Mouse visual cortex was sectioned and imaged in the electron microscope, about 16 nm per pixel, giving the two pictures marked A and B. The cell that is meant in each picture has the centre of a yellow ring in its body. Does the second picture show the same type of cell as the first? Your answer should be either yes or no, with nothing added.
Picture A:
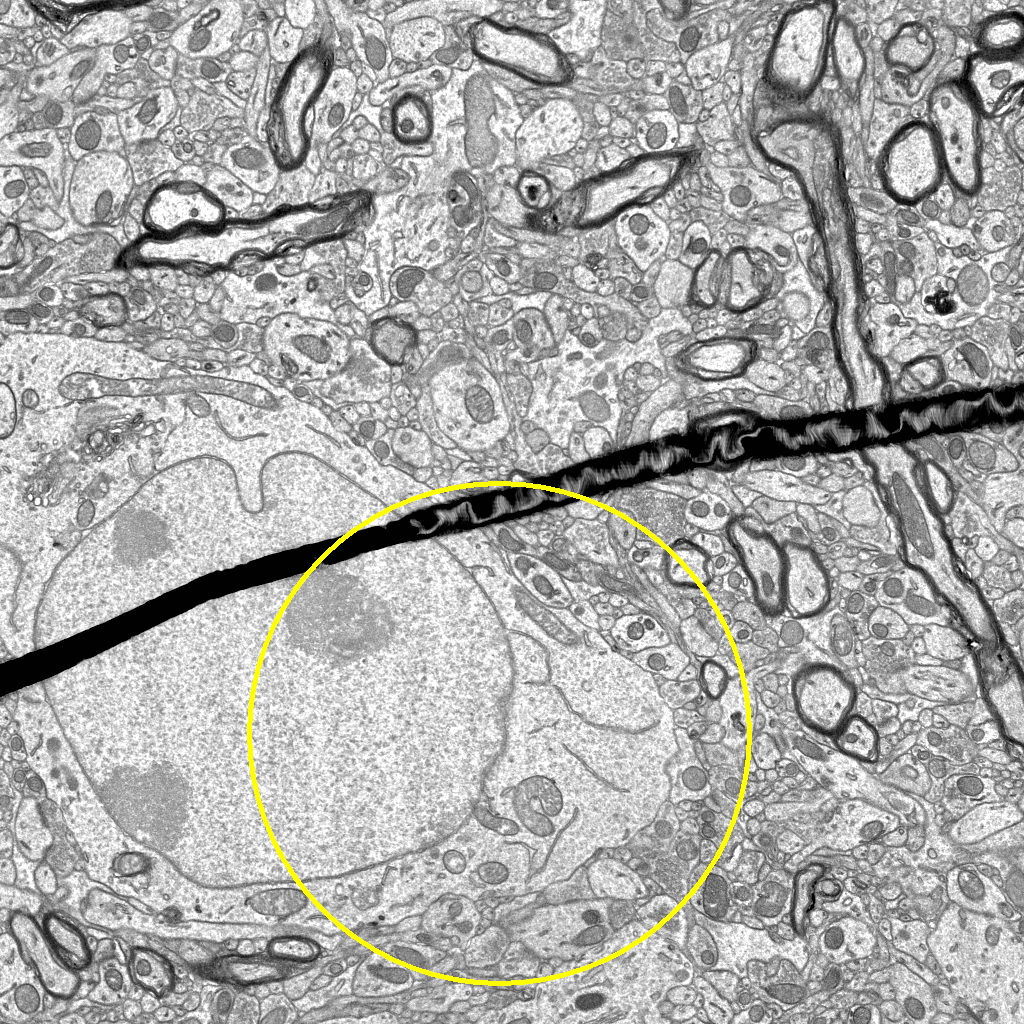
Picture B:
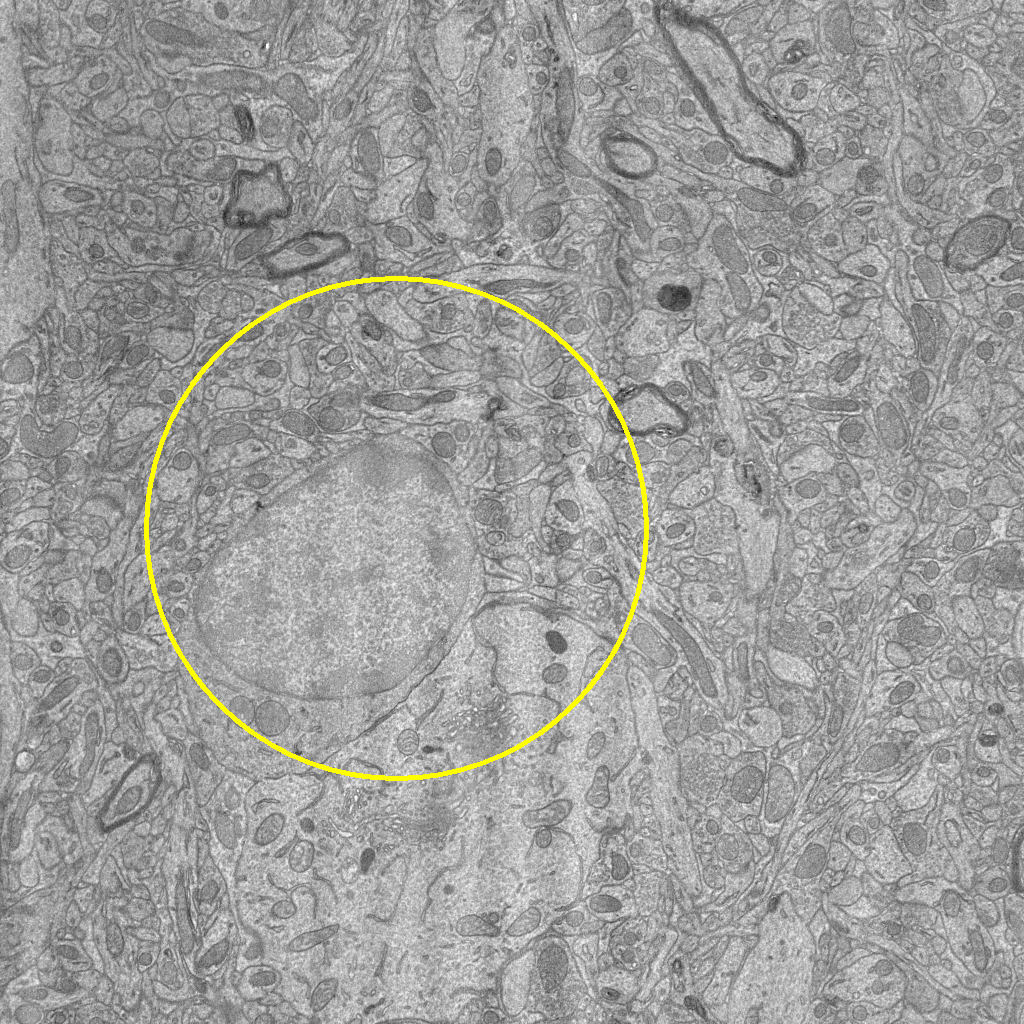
yes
